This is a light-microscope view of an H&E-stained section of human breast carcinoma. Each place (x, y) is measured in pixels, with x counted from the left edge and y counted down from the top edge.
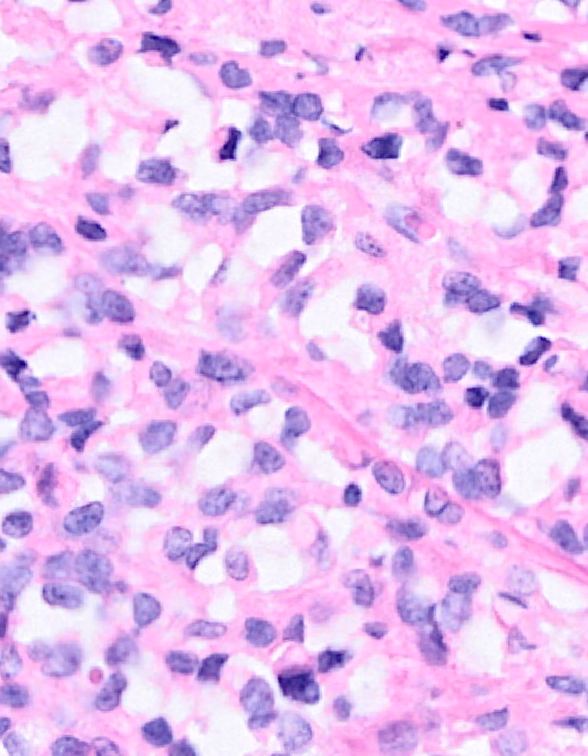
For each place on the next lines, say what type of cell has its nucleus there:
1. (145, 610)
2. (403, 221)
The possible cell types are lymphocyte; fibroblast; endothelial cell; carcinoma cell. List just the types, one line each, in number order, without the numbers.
carcinoma cell
endothelial cell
